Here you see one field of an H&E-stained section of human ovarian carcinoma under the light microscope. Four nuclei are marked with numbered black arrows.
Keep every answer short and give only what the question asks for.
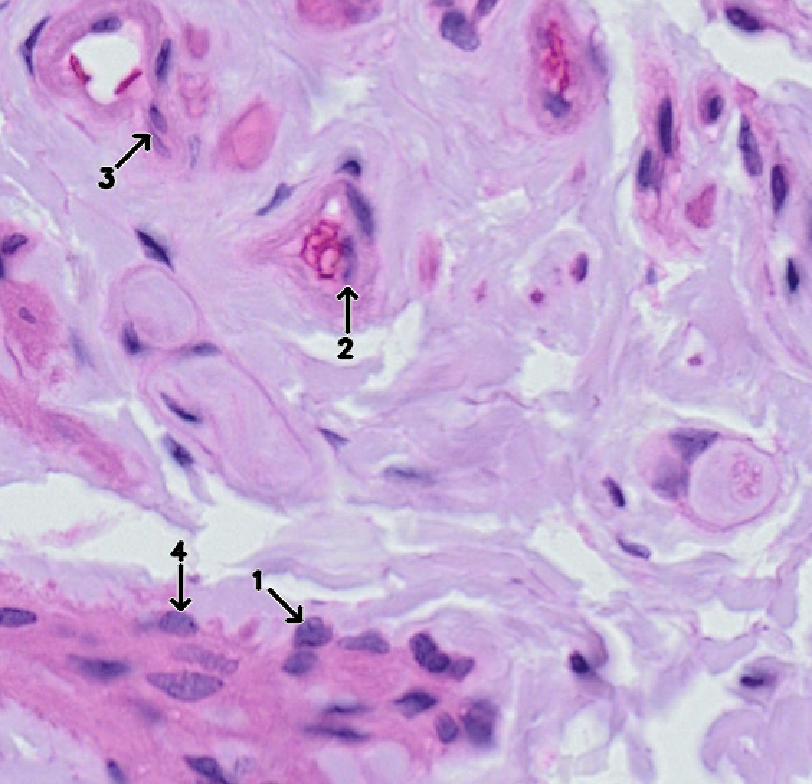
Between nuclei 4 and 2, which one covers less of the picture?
2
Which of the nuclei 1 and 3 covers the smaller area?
3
